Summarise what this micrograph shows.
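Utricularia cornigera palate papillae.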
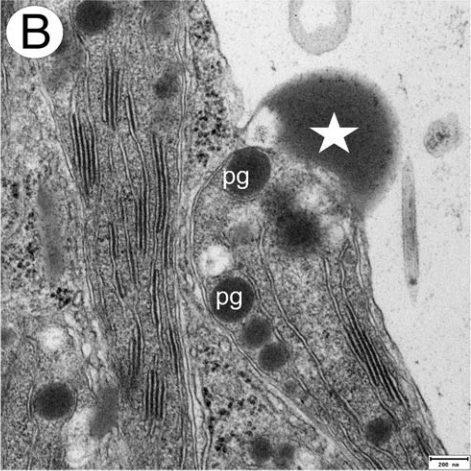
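Elongated plastids with a double envelope, filled with parallel stacked internal membranes and several large, round, electron-dense globules. At one edge a large, uniformly dark, rounded body abuts a plastid.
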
